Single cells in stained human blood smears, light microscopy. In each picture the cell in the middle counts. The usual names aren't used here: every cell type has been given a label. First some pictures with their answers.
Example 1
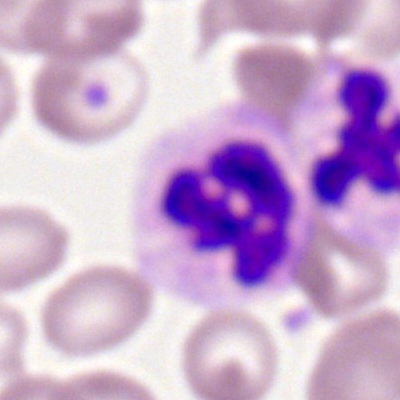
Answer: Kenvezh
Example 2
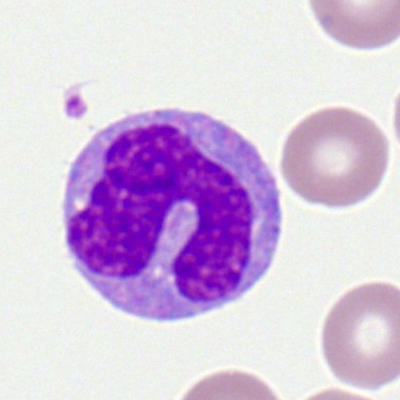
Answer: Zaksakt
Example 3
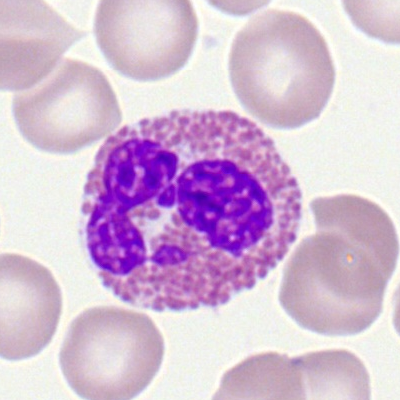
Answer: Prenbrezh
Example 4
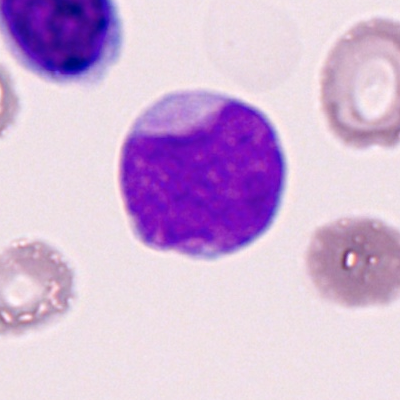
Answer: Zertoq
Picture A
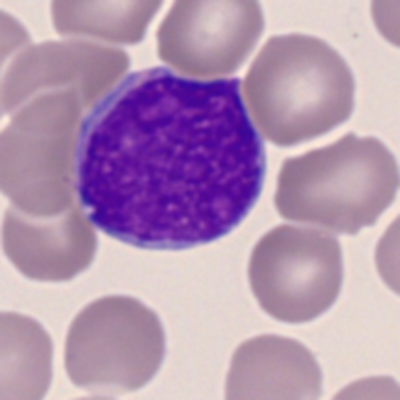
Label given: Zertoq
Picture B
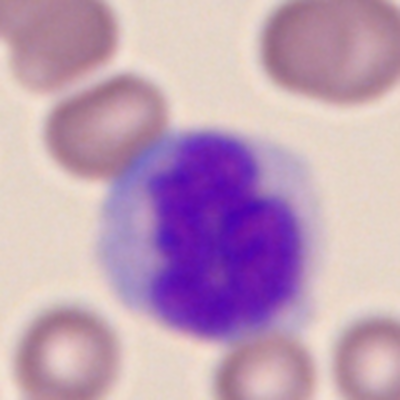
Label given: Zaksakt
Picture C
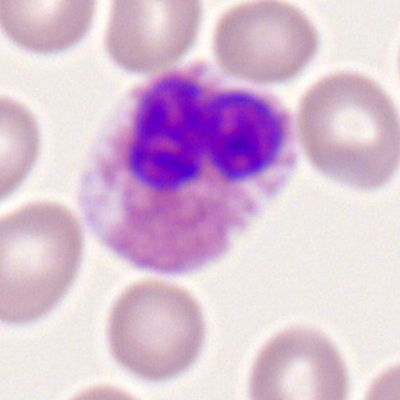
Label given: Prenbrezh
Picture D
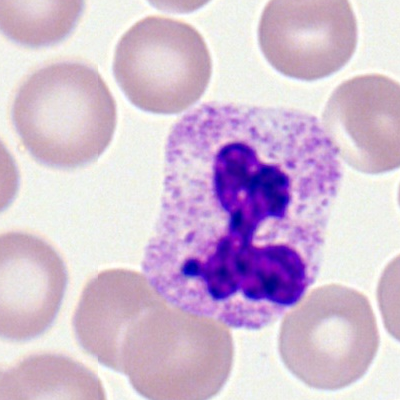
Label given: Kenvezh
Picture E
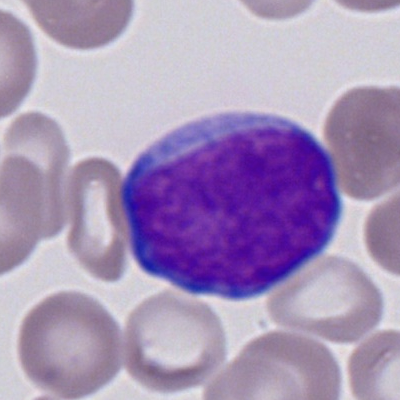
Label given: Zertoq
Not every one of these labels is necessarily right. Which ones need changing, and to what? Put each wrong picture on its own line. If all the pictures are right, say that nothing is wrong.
All labels are correct.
